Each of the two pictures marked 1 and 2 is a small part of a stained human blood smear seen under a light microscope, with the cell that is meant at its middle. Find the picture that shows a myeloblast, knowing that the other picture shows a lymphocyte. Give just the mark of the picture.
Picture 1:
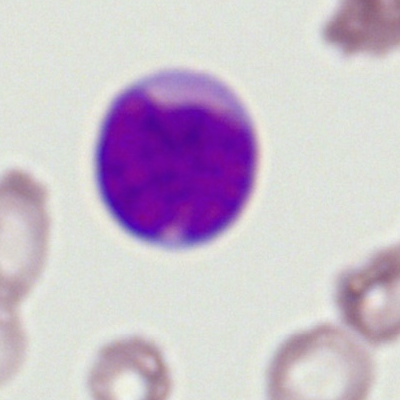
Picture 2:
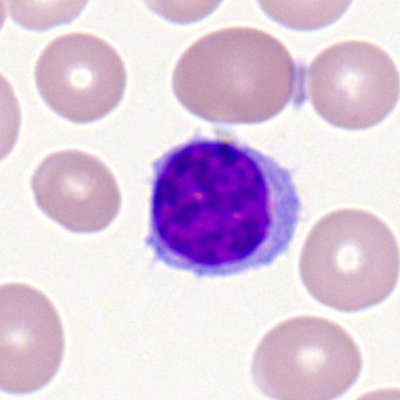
1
